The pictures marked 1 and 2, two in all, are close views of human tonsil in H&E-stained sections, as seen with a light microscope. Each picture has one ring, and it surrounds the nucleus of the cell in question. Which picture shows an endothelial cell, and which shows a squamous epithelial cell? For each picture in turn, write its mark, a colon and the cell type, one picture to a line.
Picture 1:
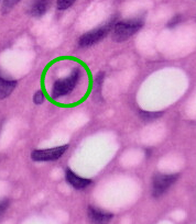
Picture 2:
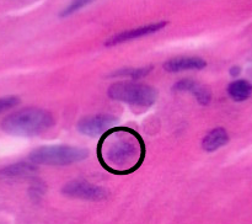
1: squamous epithelial cell
2: endothelial cell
